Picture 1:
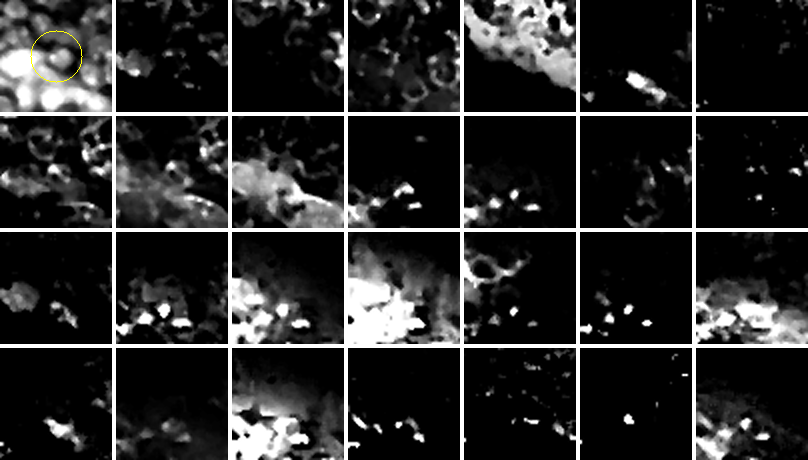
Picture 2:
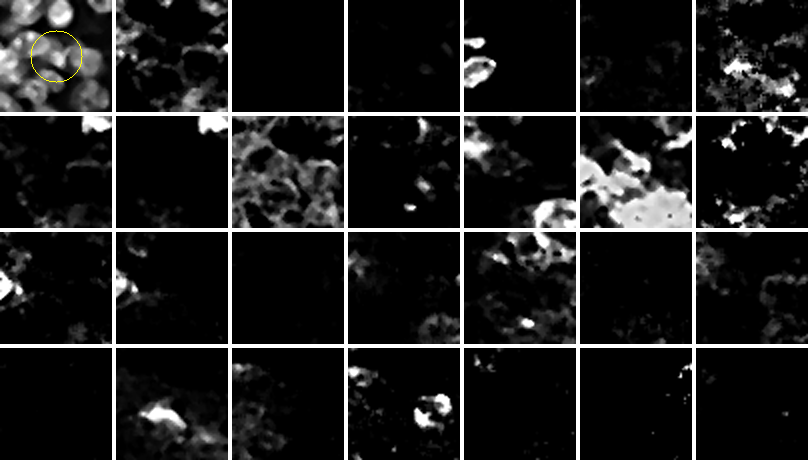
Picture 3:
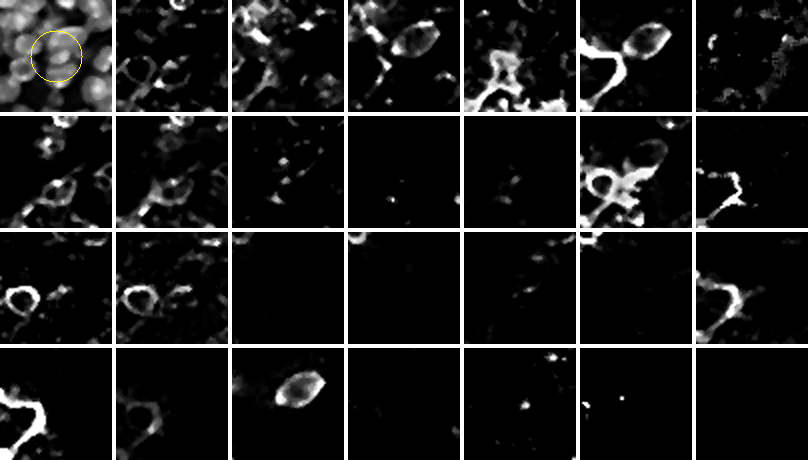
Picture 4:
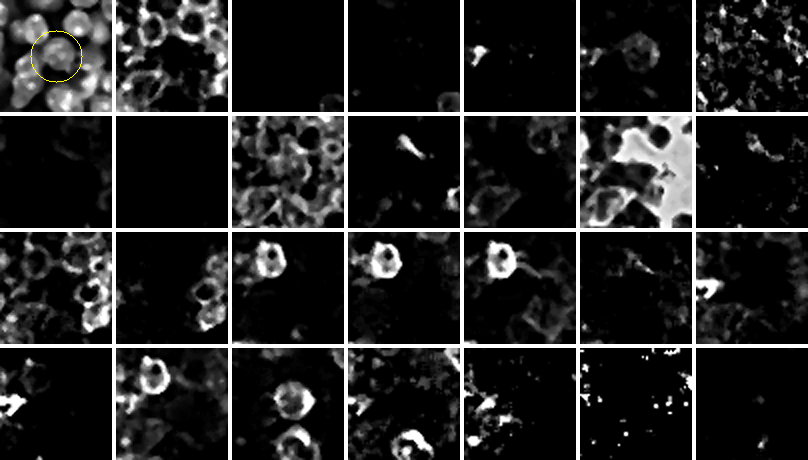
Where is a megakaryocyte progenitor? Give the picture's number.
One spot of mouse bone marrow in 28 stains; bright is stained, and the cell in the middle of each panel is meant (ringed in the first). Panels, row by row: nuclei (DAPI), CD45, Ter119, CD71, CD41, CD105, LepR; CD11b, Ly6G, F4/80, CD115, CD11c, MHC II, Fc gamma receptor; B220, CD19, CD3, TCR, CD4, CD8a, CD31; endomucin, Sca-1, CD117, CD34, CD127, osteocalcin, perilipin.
1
